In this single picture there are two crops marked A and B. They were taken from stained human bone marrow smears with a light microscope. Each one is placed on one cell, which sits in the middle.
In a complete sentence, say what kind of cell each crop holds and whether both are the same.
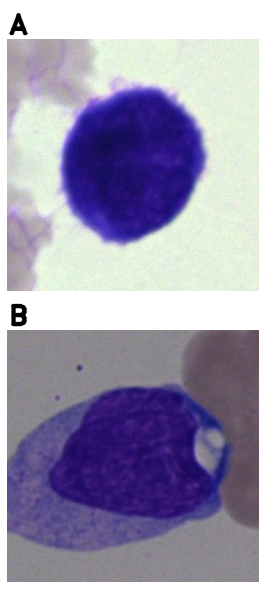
Yes, both crops do show blasts in the middle.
